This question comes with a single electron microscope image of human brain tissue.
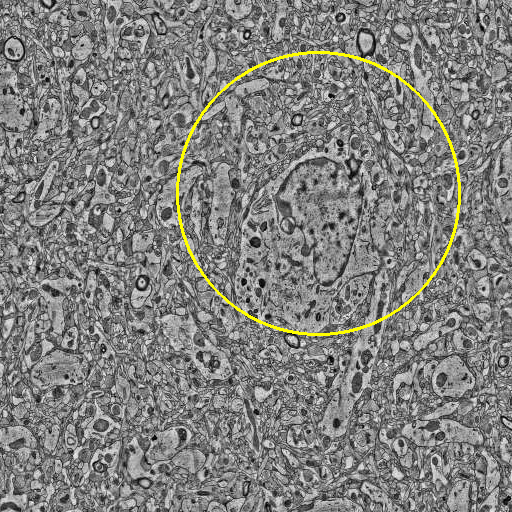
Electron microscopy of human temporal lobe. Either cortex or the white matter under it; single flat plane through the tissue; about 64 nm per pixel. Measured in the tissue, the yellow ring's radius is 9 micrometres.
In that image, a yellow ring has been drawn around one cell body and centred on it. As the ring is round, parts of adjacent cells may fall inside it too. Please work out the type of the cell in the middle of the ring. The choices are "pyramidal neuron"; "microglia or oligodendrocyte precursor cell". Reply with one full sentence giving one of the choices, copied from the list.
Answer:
Of the choices, a microglial cell or oligodendrocyte precursor cell is the cell sitting in the middle of the ring.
